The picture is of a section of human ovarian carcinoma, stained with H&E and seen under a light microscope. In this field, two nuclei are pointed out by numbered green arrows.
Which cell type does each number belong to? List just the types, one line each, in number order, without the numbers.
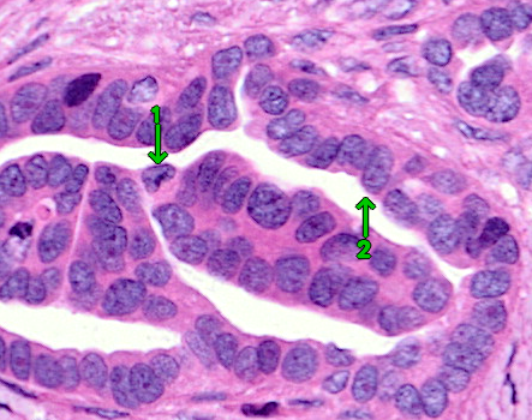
macrophage or monocyte
carcinoma cell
